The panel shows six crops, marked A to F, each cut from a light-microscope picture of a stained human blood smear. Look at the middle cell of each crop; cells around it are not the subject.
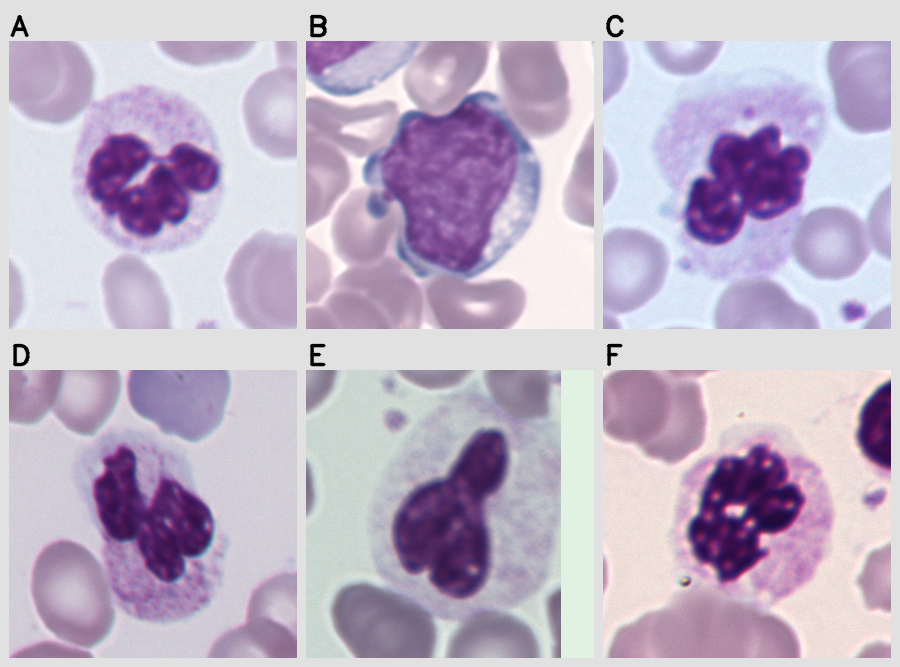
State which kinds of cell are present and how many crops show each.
segmented neutrophil: 5
myeloblast: 1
